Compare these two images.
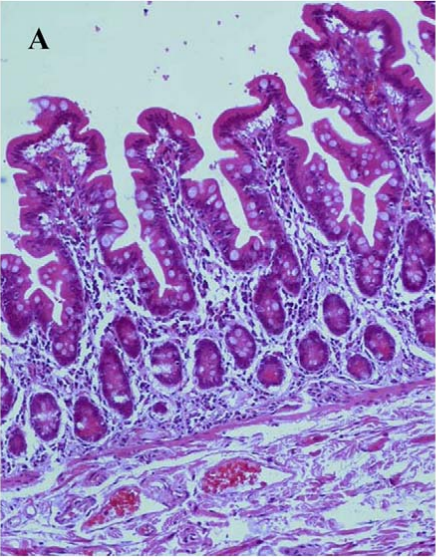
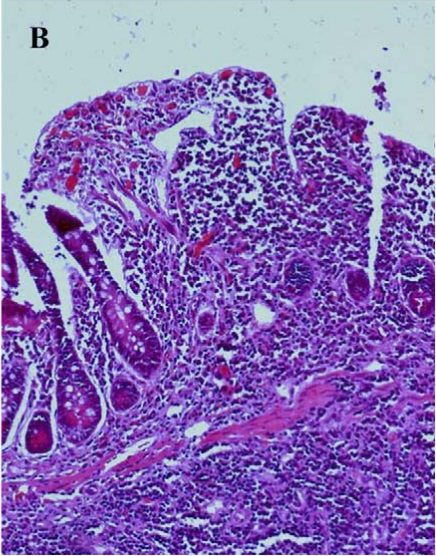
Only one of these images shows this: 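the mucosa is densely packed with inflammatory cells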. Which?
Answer: The second image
